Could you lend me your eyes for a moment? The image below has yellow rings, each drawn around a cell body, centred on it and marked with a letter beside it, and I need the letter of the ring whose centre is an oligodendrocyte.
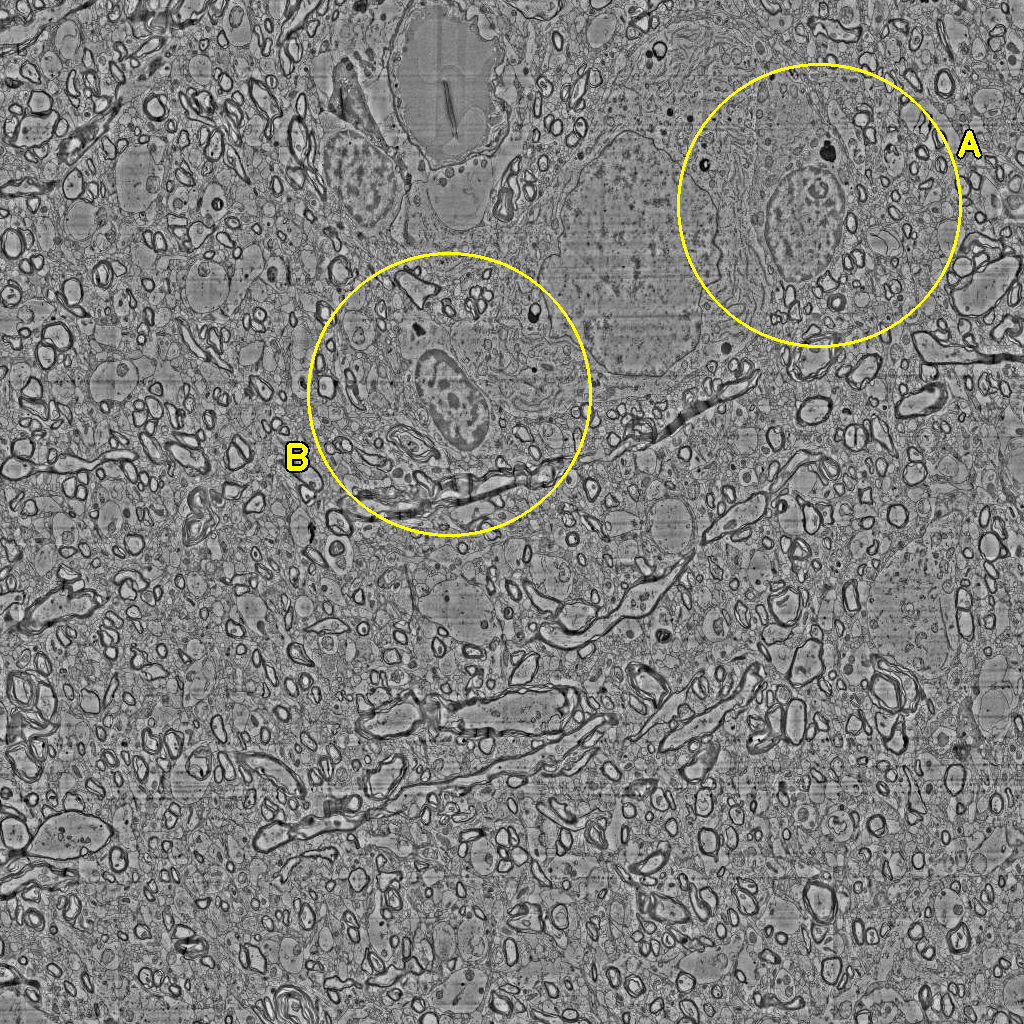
A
